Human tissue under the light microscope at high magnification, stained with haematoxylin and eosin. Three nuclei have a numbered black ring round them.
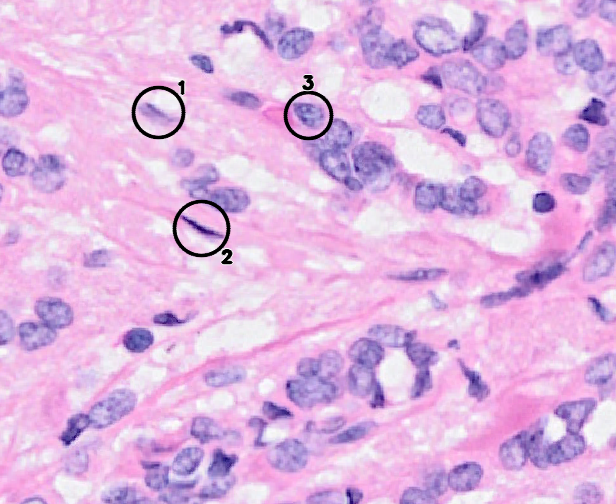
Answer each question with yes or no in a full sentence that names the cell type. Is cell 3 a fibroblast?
No, the correct answer for cell 3 is an endothelial cell, not a fibroblast.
